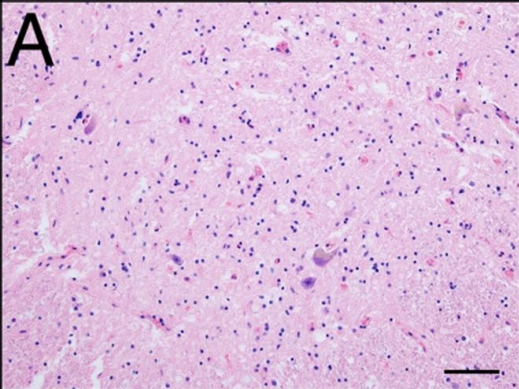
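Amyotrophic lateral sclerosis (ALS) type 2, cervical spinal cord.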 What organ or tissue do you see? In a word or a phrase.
Anterior horn.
